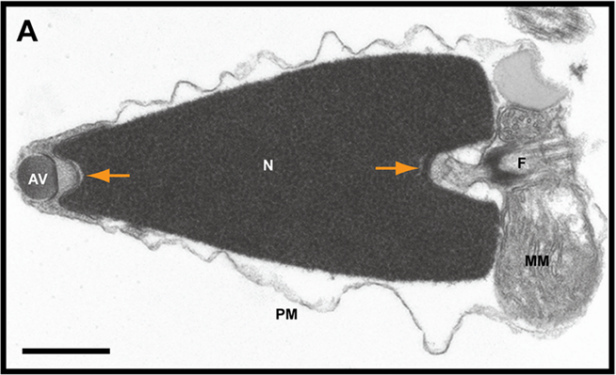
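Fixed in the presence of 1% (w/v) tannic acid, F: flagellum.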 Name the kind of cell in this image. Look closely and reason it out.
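A conical, very electron-dense nucleus fills most of the cell. A round vesicle caps the pointed front end. A mitochondrion and the base of a flagellum sit at the broad back end. That points to this answer: sperm cells.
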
